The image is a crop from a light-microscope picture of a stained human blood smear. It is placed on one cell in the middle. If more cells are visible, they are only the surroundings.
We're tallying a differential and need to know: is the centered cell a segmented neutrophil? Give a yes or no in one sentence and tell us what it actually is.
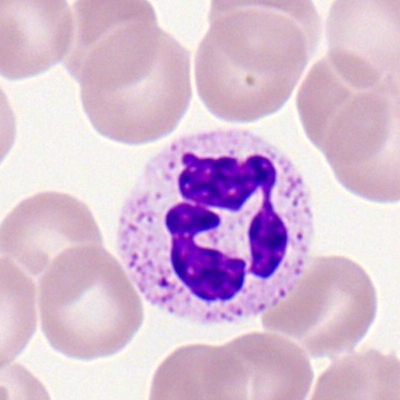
Yes, what sits in the centre of the crop is a segmented neutrophil.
